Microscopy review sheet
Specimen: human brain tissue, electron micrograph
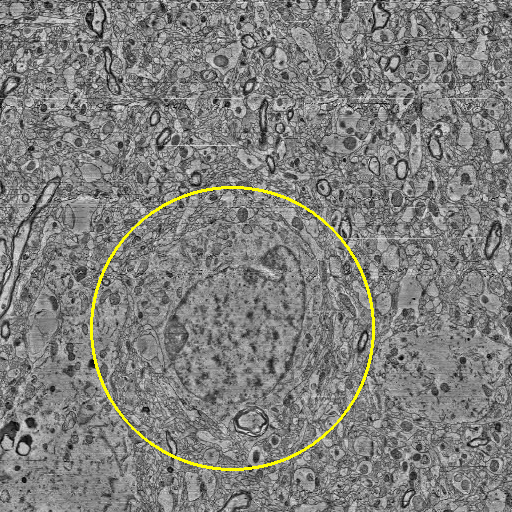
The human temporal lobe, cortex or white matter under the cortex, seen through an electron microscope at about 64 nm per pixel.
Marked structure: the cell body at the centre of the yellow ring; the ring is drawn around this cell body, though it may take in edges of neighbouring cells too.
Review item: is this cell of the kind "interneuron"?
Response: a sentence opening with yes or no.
Yes, this cell is of that kind.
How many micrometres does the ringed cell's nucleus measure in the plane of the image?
Approximately 11 by 8 micrometers in this plane.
